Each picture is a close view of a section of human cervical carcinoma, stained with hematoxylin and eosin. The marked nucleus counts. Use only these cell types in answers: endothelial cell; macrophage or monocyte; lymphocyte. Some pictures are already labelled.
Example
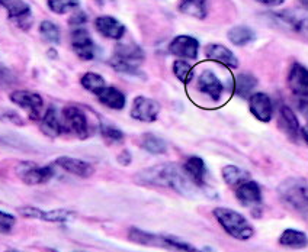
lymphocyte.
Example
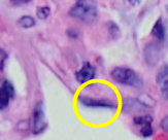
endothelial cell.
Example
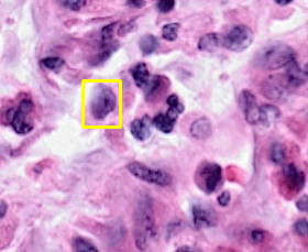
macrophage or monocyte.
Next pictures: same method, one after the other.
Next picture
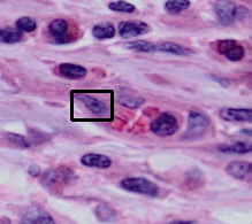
endothelial cell.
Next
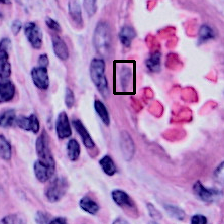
endothelial cell.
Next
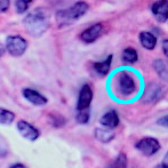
lymphocyte.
